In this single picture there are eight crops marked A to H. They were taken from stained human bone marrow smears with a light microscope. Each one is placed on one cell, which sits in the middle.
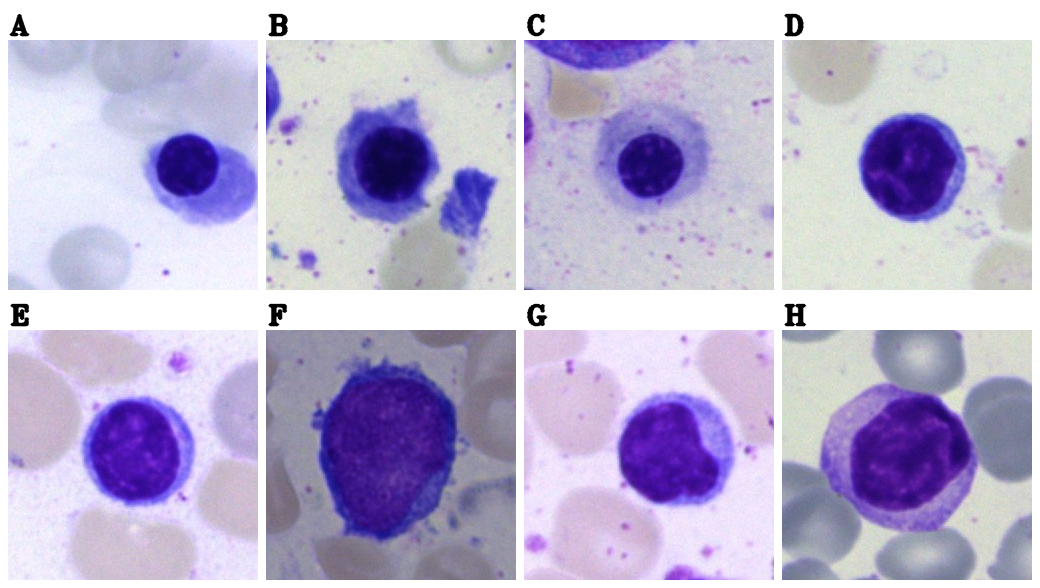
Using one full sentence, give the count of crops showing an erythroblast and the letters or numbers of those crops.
In three of the crops, namely A, B and C, the cell shown belongs to the erythroblasts.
